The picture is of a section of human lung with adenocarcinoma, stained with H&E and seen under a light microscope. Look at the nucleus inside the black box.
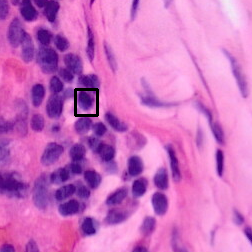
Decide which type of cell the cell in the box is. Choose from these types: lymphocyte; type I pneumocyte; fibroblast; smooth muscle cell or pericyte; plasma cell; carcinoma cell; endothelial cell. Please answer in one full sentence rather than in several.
In this preparation, the cell in the box is a lymphocyte.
